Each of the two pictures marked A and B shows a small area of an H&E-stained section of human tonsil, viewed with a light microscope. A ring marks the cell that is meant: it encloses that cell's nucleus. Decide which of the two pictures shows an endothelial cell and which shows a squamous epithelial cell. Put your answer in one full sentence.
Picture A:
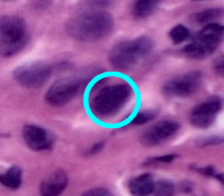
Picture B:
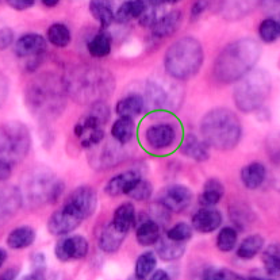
The cell in picture A is a squamous epithelial cell, and the one in picture B is an endothelial cell.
